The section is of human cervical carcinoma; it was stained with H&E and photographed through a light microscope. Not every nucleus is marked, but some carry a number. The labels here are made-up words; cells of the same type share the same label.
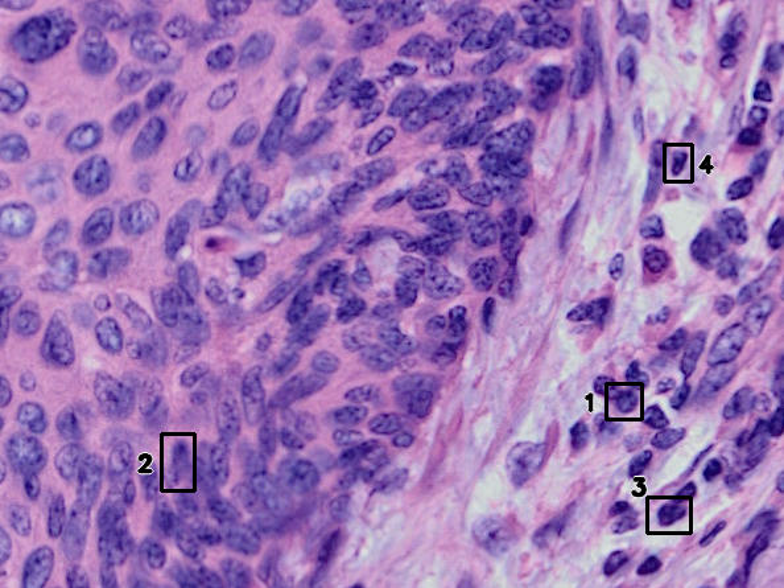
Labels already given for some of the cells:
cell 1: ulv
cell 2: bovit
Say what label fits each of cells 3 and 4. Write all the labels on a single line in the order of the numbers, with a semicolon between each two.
ulv; ulv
